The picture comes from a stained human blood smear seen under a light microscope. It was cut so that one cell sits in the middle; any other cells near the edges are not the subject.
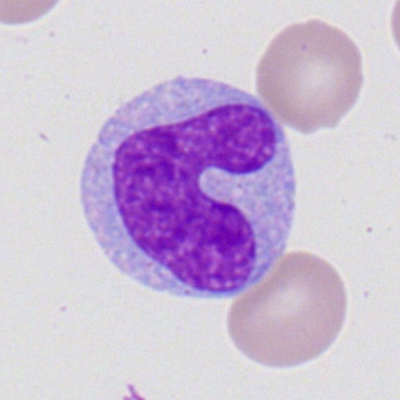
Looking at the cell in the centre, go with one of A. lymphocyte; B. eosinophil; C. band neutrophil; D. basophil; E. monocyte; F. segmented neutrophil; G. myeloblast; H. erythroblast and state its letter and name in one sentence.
This one is option E, since the cell at the center is a monocyte.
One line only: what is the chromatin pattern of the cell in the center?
The nuclear chromatin is fine, showing no coarse aggregates.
